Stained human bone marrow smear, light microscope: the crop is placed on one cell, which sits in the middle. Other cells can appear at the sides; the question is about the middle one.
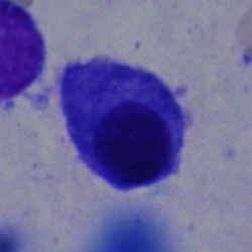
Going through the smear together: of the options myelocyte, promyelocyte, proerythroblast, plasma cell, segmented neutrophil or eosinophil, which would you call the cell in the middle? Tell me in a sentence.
The center cell of this crop is a plasma cell.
